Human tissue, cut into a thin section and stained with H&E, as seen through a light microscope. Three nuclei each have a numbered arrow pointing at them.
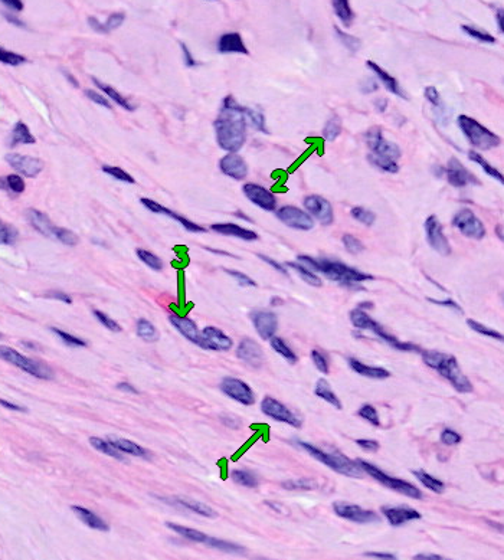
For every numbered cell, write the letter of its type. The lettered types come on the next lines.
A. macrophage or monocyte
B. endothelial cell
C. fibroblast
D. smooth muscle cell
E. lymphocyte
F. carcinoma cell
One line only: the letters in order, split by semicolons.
D; D; B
